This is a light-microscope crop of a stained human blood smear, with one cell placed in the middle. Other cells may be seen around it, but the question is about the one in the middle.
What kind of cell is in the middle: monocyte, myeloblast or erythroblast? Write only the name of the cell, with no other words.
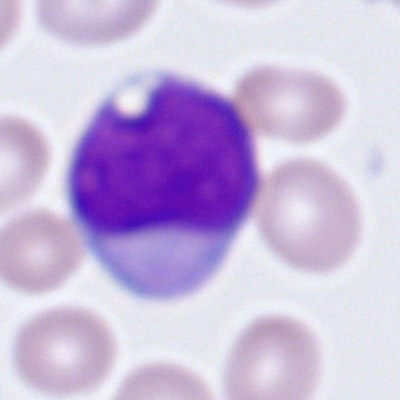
myeloblast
